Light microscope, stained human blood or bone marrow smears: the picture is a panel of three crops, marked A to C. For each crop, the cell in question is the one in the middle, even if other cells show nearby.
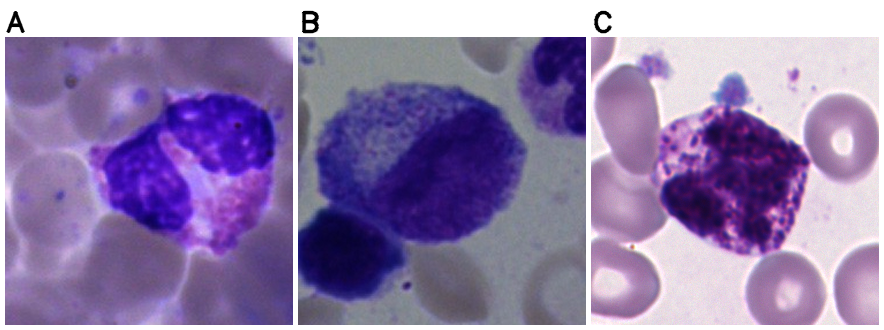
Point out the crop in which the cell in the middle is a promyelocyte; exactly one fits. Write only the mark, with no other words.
B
